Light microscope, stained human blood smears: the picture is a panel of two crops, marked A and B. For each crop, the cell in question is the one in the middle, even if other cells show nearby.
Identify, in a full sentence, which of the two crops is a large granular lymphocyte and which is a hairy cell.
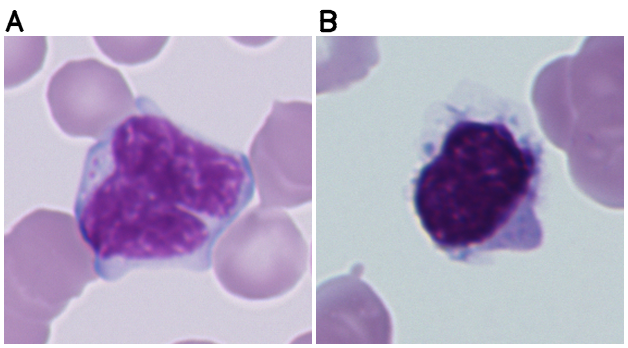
Identified in crop A is a large granular lymphocyte, with a hairy cell identified in crop B.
